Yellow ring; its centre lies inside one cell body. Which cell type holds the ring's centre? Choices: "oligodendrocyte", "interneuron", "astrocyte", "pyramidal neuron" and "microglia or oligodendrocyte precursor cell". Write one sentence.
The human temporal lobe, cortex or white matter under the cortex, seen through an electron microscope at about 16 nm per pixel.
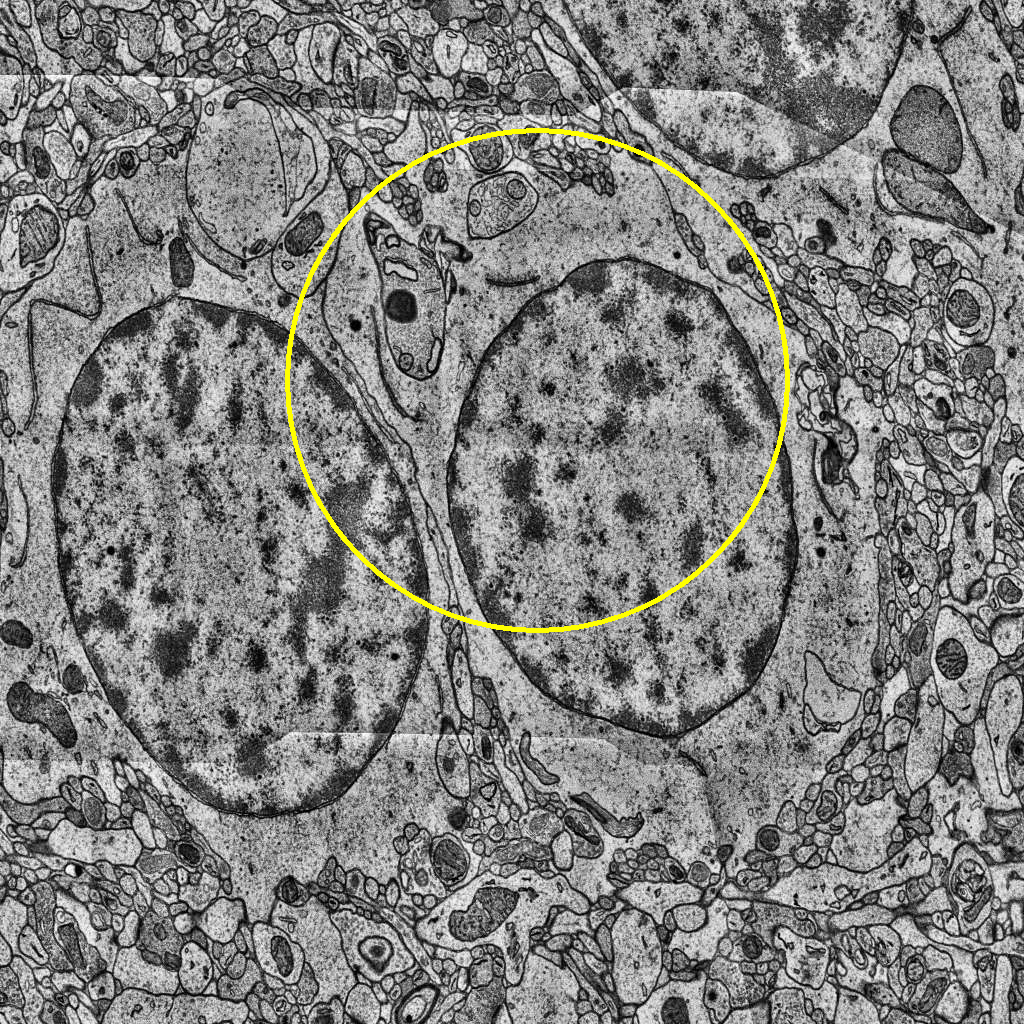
At the centre of the ring sits an astrocyte.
